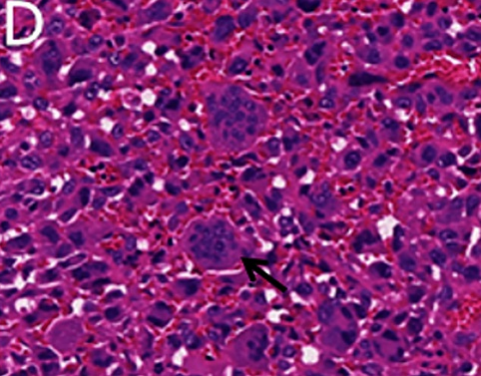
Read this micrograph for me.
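This is a tumor made of densely packed, poorly differentiated cells, with large many-nucleated giant cells scattered among them. Most cells are single, rounded to irregular in shape, and vary in size, with dark purple nuclei and a modest rim of pink cytoplasm. The cells form solid sheets without glands or other orderly arrangement. Among them lie a few much larger cells whose cytoplasm is paler and which each contain a cluster of many small, evenly sized nuclei. Small clear gaps and reddish strands lie between the cells.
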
